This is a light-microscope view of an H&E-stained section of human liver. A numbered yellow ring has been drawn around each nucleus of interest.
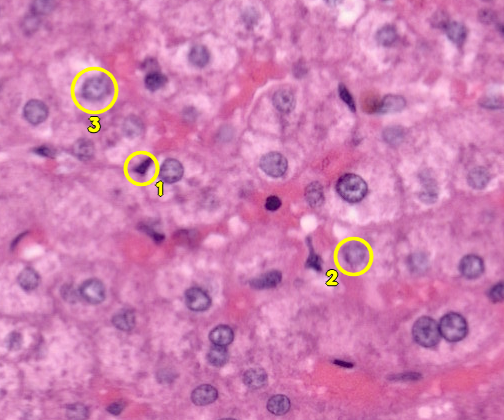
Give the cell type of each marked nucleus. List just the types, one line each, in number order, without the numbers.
fibroblast or stellate cell
hepatocyte
hepatocyte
